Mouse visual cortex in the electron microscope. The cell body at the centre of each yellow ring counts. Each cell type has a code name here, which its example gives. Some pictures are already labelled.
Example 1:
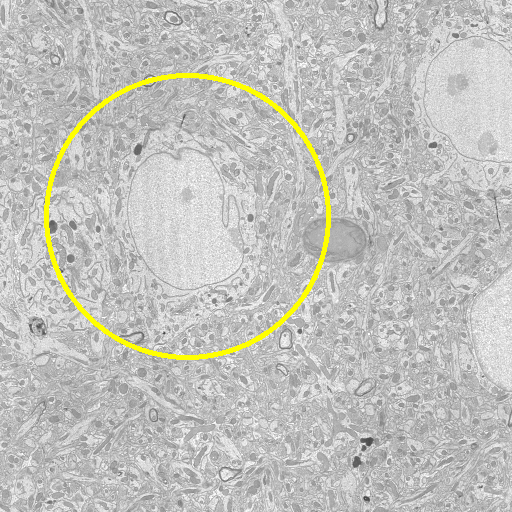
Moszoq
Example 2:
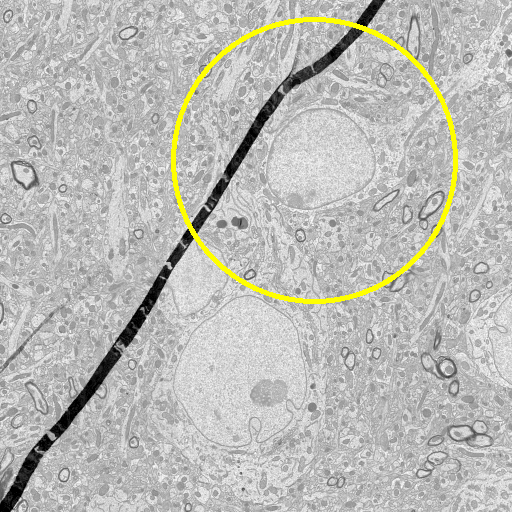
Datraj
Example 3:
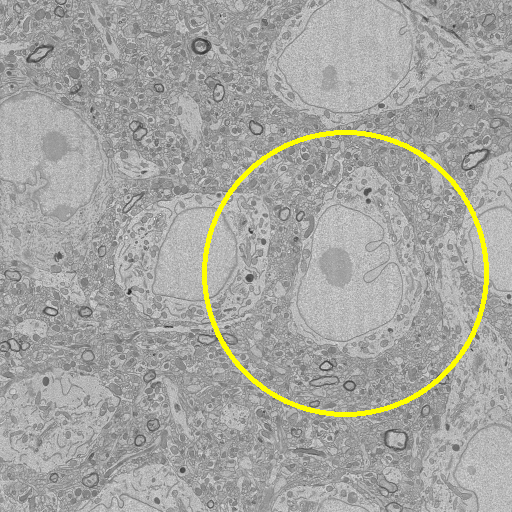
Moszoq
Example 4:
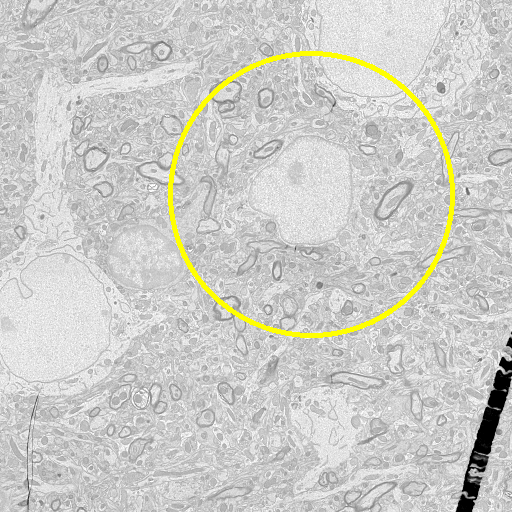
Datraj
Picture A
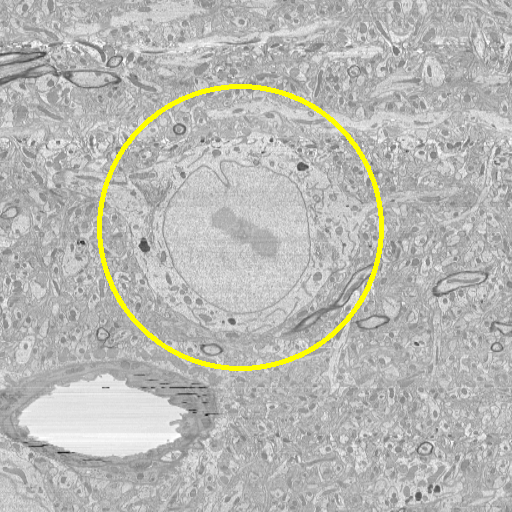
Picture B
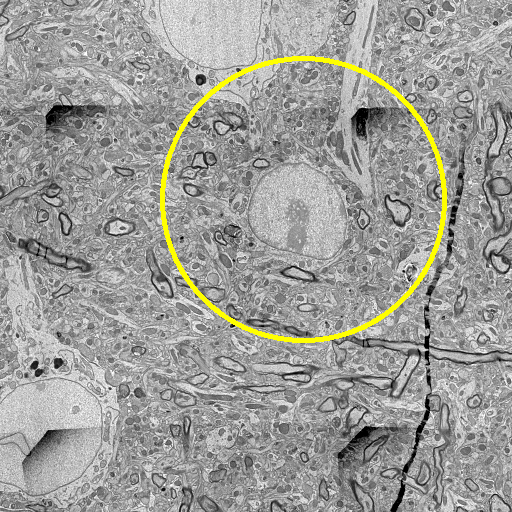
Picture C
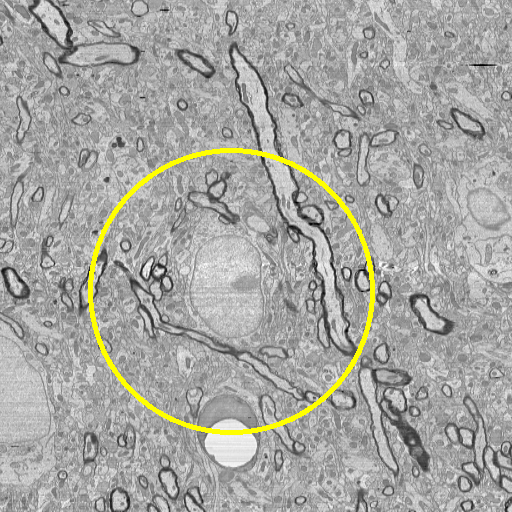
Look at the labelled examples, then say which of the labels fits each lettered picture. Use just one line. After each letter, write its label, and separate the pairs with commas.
A Moszoq, B Datraj, C Datraj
